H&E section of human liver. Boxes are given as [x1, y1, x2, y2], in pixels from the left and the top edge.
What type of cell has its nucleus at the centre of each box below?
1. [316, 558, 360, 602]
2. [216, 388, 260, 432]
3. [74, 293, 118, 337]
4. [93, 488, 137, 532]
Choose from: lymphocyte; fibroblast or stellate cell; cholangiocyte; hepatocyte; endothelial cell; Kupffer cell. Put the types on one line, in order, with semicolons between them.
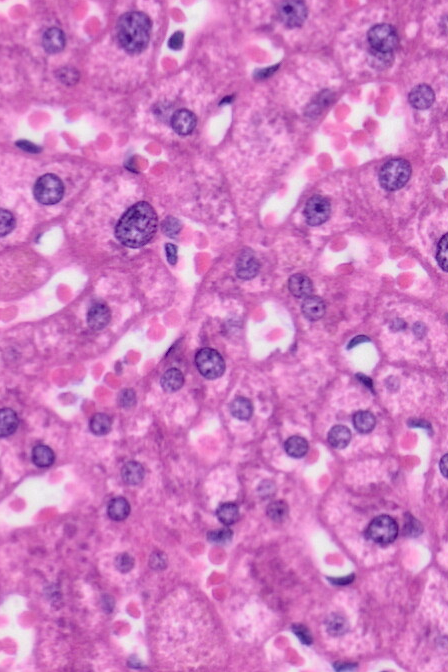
endothelial cell; hepatocyte; hepatocyte; hepatocyte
